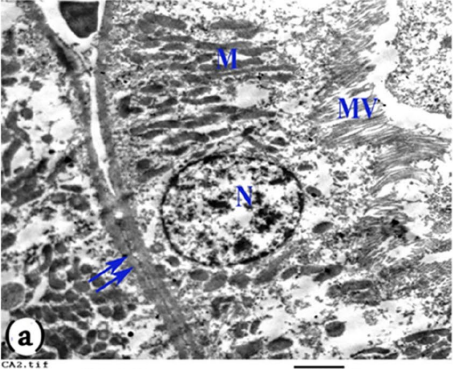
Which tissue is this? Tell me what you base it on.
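A tall epithelial cell with a dense brush border of long microvilli at its apex. Many elongated mitochondria packed in the basal cytoplasm. A round nucleus in the basal half of the cell. The answer: proximal convoluted tubule.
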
